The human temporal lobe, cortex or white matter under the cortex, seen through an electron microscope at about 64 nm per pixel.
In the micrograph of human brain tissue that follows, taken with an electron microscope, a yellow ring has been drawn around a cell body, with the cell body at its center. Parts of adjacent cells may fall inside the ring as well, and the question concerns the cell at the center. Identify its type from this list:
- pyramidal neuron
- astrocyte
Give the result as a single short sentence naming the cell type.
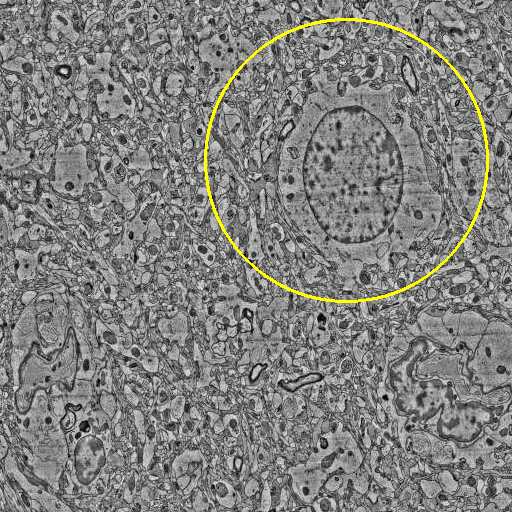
The ring is centered on an astrocyte.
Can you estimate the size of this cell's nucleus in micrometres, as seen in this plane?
About 9 by 6 micrometres in this plane.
